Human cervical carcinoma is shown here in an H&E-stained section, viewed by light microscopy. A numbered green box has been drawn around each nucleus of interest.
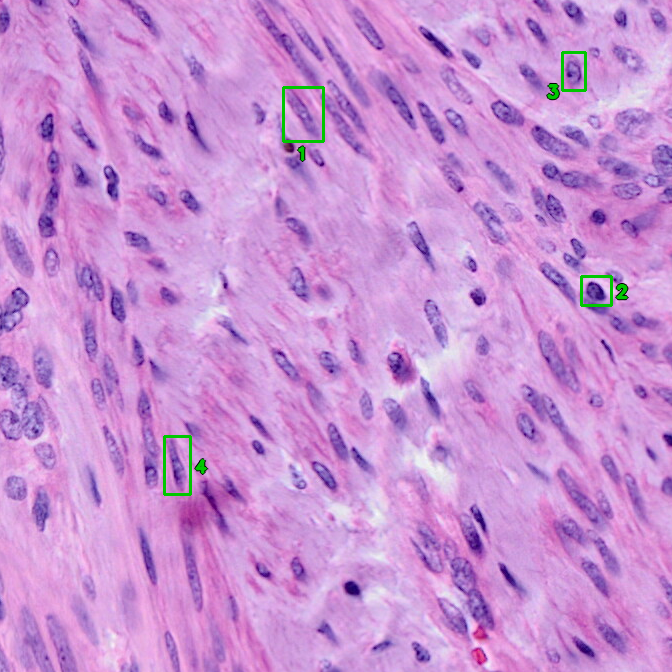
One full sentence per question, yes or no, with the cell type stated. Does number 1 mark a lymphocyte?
No, a smooth muscle cell is what cell 1 is, not a lymphocyte.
